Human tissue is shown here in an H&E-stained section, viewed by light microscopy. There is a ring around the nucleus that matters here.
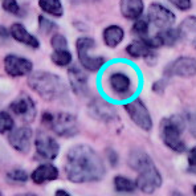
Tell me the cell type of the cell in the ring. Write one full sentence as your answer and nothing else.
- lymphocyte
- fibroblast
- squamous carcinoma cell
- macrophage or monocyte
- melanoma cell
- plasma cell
It is as a lymphocyte that the cell in the ring is classified.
